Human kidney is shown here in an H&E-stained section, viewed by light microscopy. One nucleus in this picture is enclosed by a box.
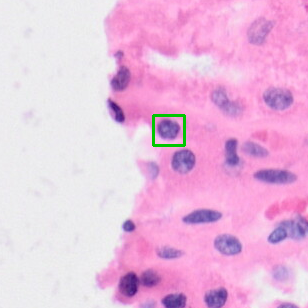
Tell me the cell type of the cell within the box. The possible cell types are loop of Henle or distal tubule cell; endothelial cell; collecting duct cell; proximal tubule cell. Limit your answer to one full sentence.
Labelled by cell type, the cell within the box is a loop of Henle or distal tubule cell.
